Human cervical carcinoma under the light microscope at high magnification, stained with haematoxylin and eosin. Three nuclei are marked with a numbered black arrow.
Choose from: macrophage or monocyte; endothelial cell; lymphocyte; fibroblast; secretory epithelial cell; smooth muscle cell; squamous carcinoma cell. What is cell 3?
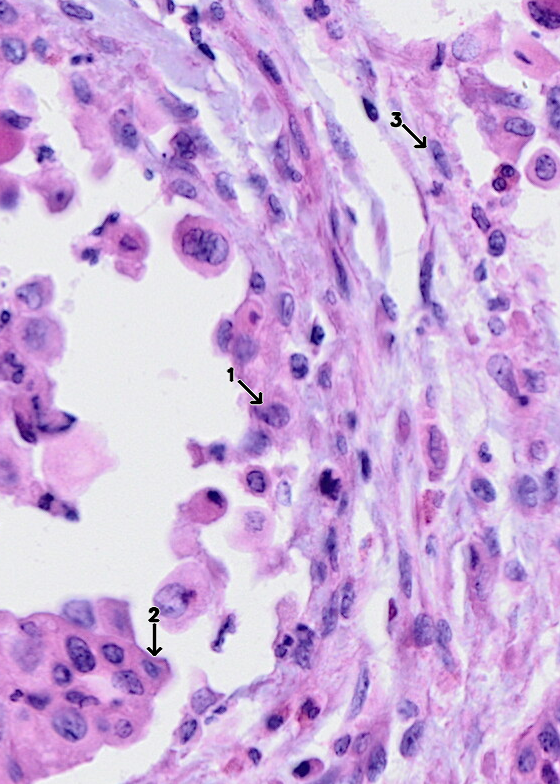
fibroblast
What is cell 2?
squamous carcinoma cell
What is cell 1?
macrophage or monocyte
